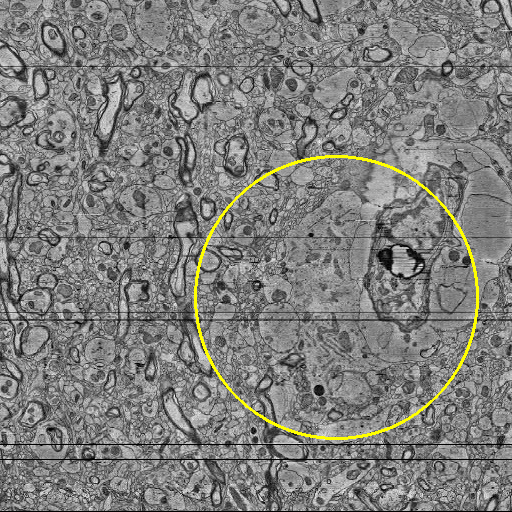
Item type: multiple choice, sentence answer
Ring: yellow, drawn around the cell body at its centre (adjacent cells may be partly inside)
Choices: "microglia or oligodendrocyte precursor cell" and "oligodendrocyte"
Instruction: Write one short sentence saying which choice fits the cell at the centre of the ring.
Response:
This ring is drawn around a microglial cell or oligodendrocyte precursor cell.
